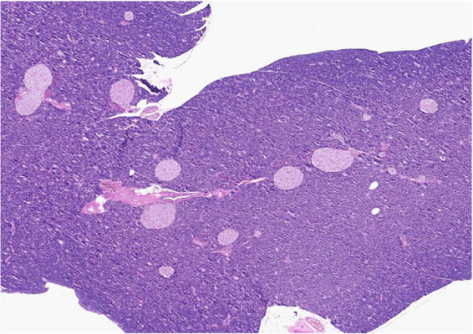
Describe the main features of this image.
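A section of pancreas in which densely packed purple-staining exocrine tissue fills most of the field. Scattered through it are numerous round to oval, pale pink islets, lighter and more uniform than the surrounding tissue, several lying near a central pink-walled duct with accompanying vessels.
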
